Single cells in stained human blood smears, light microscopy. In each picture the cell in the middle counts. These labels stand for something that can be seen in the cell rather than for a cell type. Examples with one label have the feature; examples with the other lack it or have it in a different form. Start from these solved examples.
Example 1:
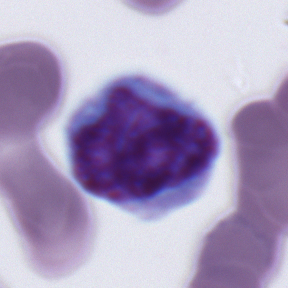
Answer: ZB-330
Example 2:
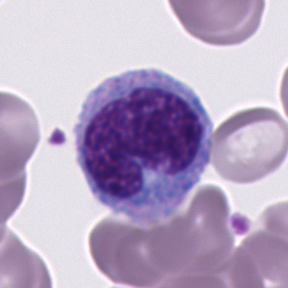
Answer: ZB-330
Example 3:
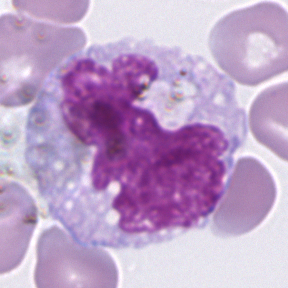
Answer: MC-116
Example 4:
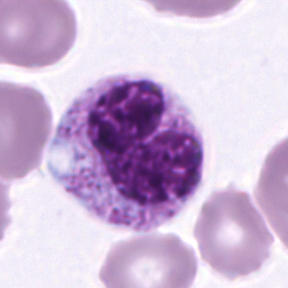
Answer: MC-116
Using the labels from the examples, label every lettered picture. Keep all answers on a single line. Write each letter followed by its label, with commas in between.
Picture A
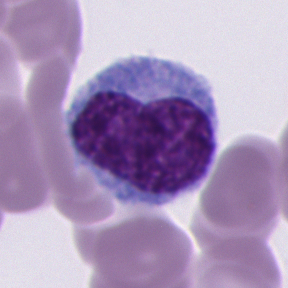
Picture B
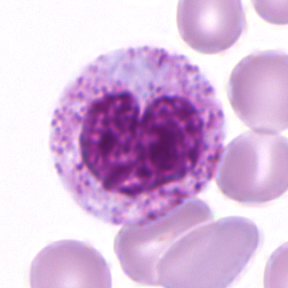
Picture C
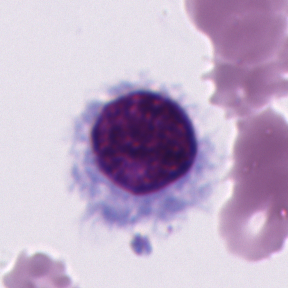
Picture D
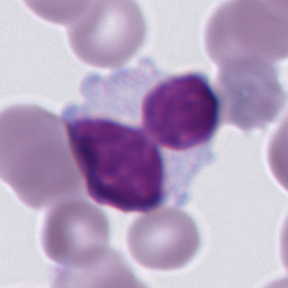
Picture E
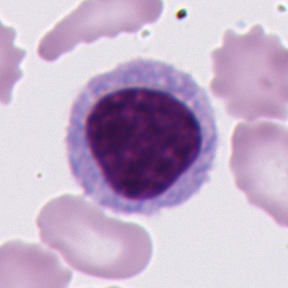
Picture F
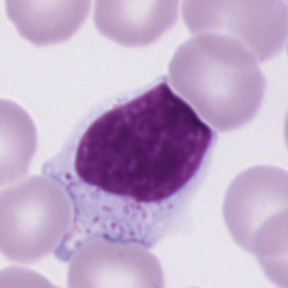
A ZB-330, B MC-116, C ZB-330, D MC-116, E ZB-330, F ZB-330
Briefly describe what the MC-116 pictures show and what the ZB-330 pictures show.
Seen in MC-116: lobed nucleus; seen in ZB-330: single compact nucleus.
